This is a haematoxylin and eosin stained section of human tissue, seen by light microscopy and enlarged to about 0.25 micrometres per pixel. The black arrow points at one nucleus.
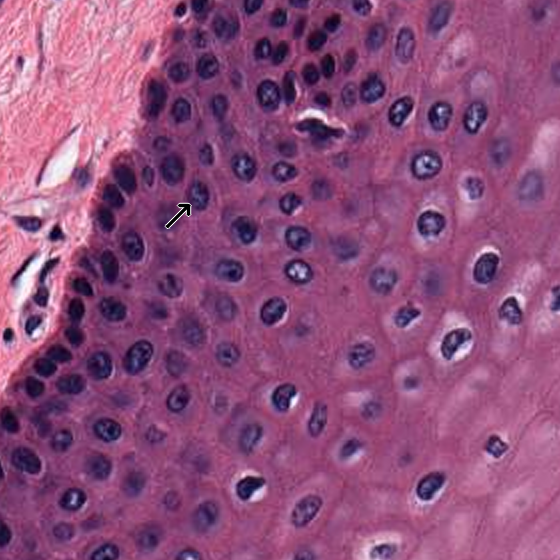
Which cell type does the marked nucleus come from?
squamous epithelial cell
